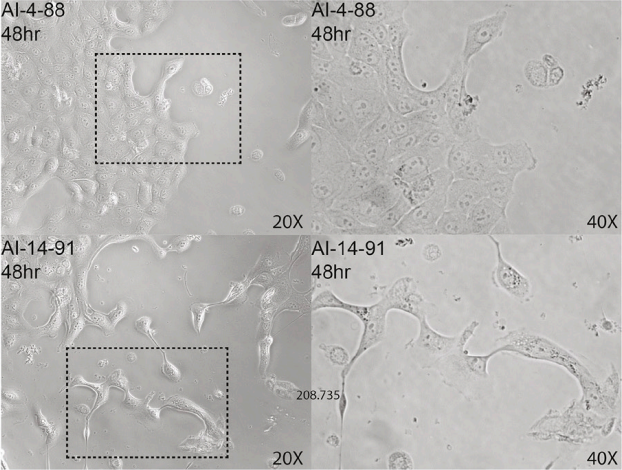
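Cultured epithelial cells seen in phase contrast at two magnifications. In the upper images the cells lie tightly packed as a continuous cobblestone sheet of polygonal cells with round nuclei and distinct nucleoli. In the lower images the cells are scattered and elongated or spindle-shaped with long thin processes, and a few rounded cells lie free.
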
